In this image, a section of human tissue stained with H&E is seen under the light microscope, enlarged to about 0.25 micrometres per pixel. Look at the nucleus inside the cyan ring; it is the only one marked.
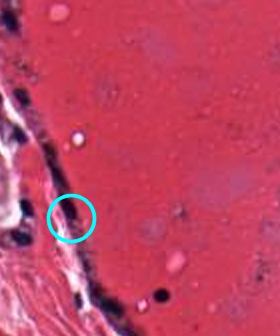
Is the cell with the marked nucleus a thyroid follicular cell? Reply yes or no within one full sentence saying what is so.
Yes, the nucleus that is marked belongs to a thyroid follicular cell.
